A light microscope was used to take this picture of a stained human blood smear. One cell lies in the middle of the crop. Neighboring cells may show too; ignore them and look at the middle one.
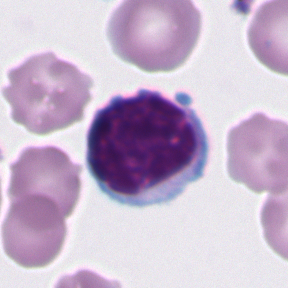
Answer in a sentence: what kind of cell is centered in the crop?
The cell in the middle of this crop is a lymphocyte.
